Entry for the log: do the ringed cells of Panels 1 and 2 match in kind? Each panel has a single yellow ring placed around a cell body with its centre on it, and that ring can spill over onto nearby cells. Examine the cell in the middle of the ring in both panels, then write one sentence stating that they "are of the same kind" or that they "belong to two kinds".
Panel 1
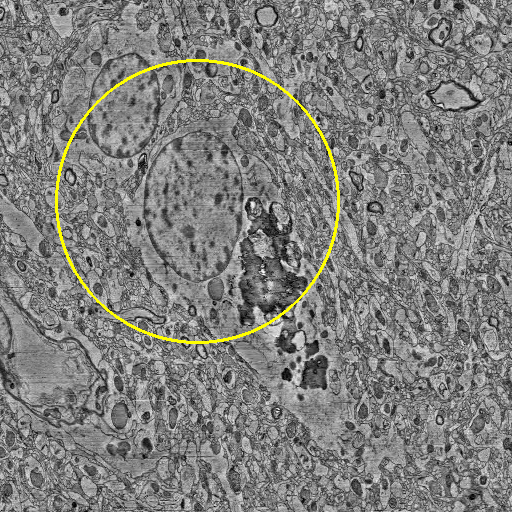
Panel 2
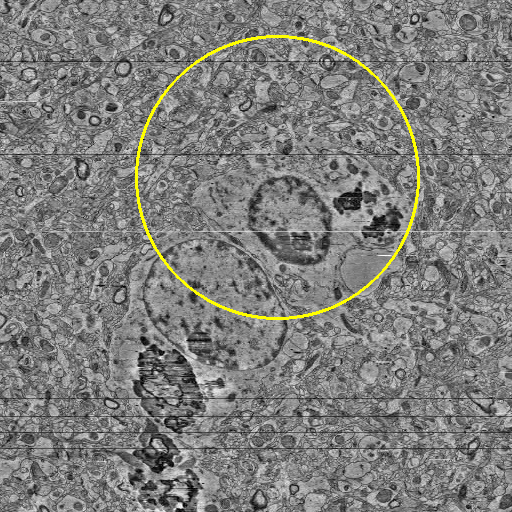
The centre cell of Panel 1's ring and that of Panel 2's ring are of the same kind.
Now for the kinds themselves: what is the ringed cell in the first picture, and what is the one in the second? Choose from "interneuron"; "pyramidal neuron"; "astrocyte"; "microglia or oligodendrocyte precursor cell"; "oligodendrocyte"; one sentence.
Each of the two cells is an astrocyte.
